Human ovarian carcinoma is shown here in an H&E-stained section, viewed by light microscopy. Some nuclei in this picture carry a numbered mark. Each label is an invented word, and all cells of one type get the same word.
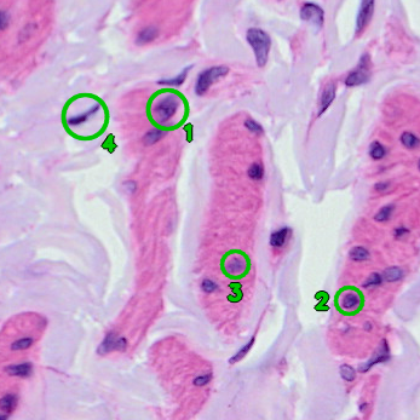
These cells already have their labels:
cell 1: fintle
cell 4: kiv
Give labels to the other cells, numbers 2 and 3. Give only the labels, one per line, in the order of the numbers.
fintle
fintle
